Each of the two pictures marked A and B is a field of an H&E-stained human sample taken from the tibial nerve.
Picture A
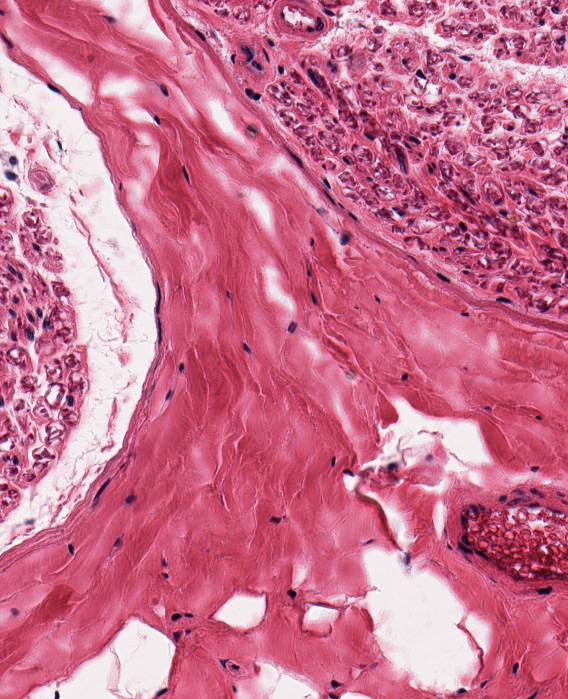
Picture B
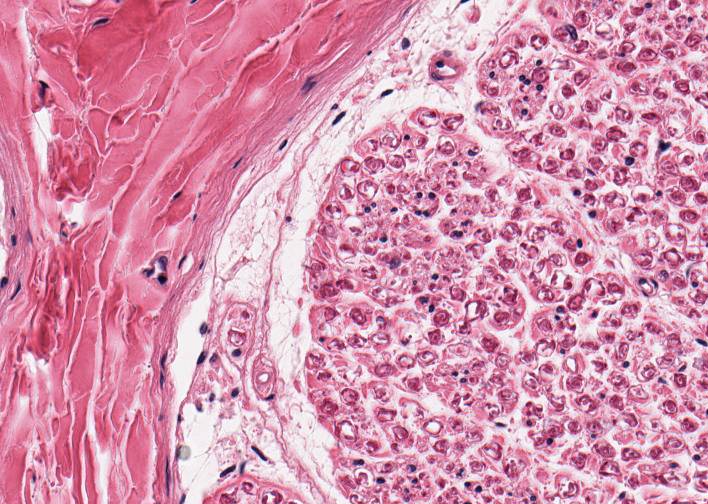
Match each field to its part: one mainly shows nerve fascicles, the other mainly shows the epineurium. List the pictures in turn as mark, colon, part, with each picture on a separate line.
A: epineurium
B: nerve fascicles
